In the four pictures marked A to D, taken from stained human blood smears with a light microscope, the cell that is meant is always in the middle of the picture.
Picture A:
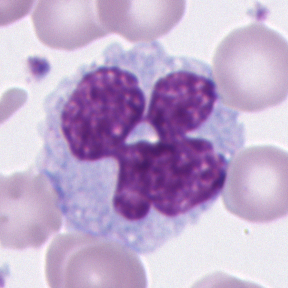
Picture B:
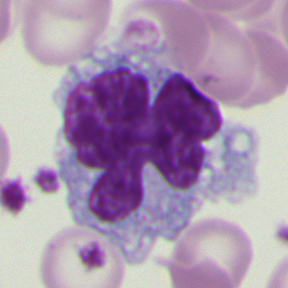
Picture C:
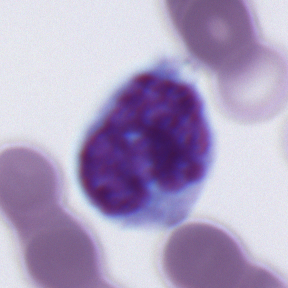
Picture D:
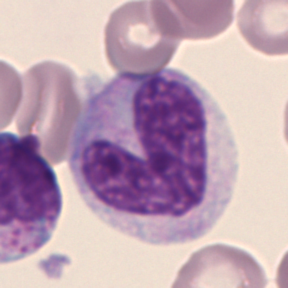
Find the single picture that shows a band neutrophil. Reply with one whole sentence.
It is picture D that shows the band neutrophil.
